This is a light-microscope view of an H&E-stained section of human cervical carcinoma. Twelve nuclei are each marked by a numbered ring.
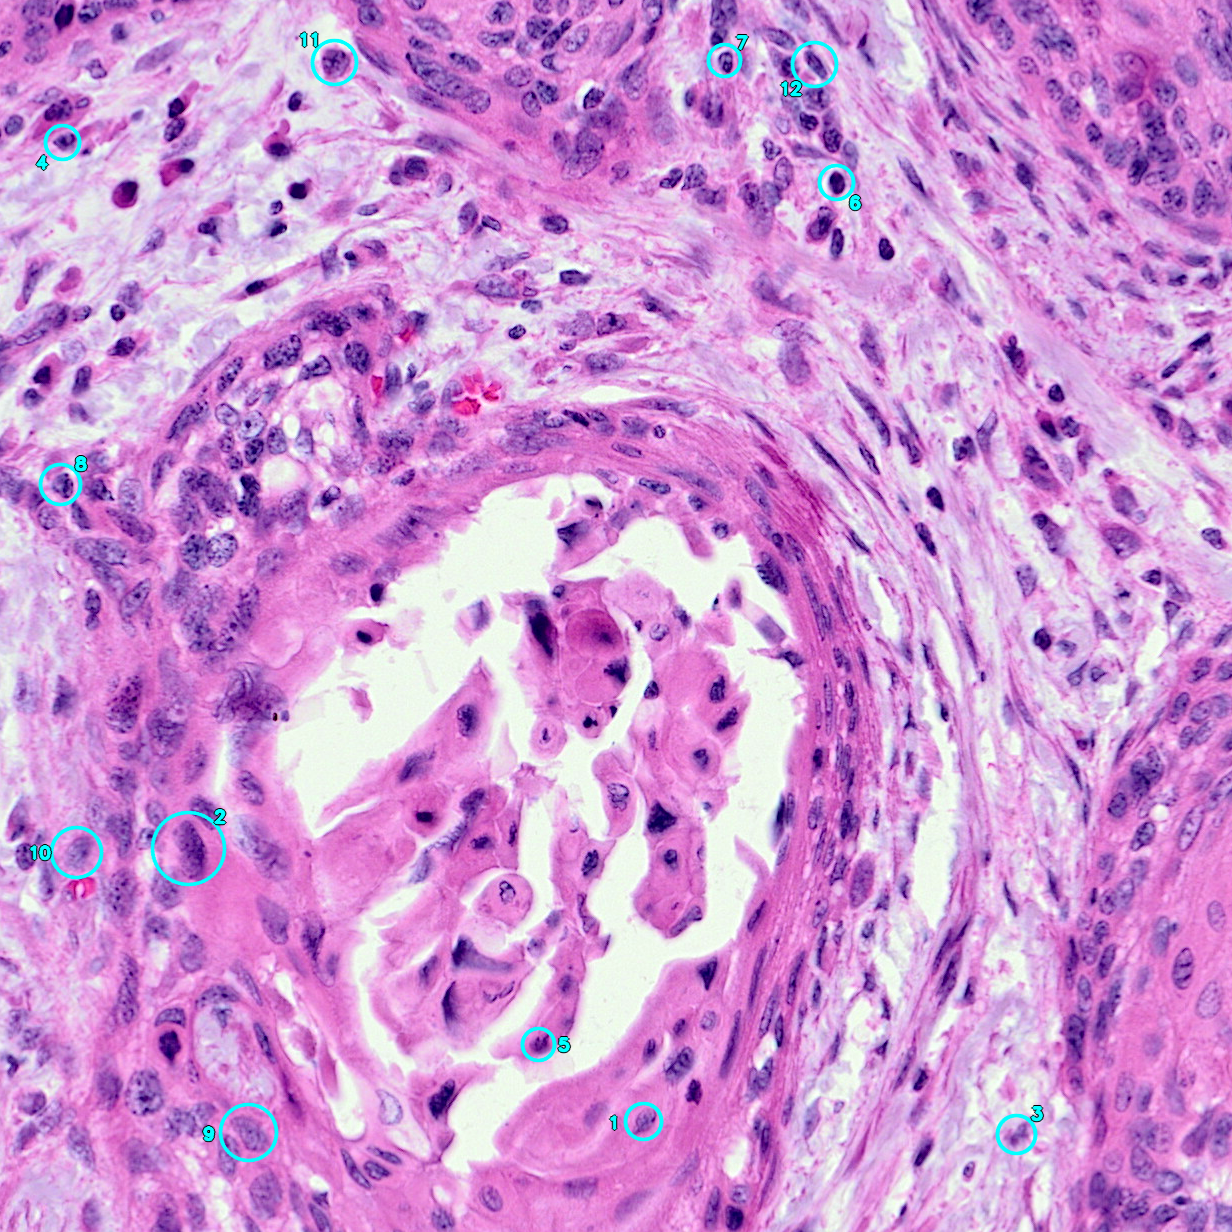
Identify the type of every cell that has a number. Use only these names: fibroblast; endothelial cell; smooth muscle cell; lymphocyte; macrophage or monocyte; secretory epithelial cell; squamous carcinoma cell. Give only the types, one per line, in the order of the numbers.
squamous carcinoma cell
squamous carcinoma cell
fibroblast
lymphocyte
squamous carcinoma cell
lymphocyte
lymphocyte
lymphocyte
squamous carcinoma cell
endothelial cell
macrophage or monocyte
lymphocyte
